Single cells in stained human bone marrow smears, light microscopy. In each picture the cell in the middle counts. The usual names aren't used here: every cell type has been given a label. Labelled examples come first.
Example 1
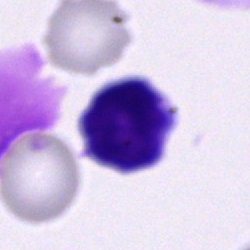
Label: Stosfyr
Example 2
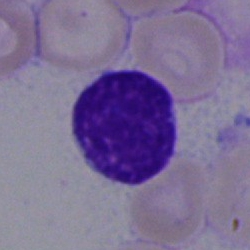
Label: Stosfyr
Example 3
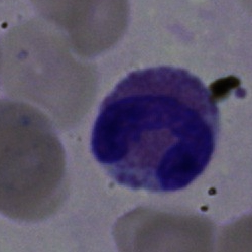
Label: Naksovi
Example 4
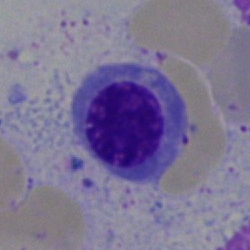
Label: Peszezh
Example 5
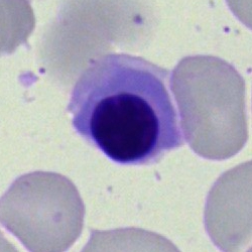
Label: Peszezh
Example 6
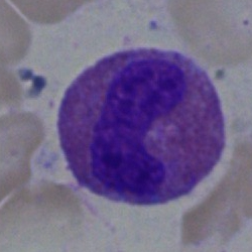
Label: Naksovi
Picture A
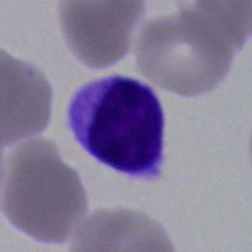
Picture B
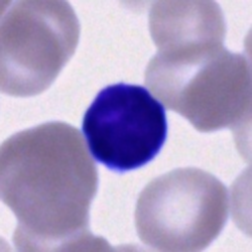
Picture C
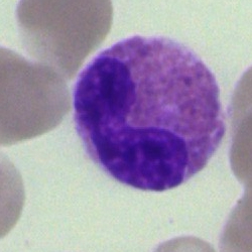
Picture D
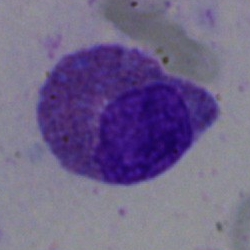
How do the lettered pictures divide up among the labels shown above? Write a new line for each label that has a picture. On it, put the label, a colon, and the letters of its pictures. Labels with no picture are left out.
Stosfyr: A, B
Naksovi: C, D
